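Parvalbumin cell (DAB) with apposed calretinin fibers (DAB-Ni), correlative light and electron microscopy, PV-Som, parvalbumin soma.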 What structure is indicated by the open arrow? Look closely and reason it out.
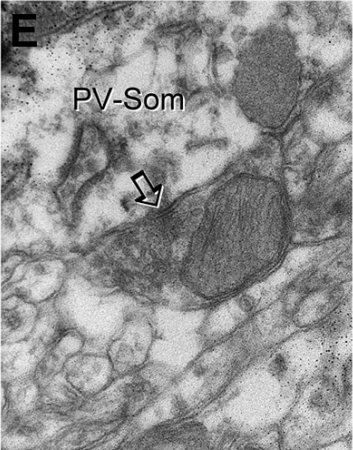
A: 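Symmetric synapse. A dark-stained bouton with a large mitochondrion abuts the soma. At the open arrow the membrane densities on both sides are thin and similar.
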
